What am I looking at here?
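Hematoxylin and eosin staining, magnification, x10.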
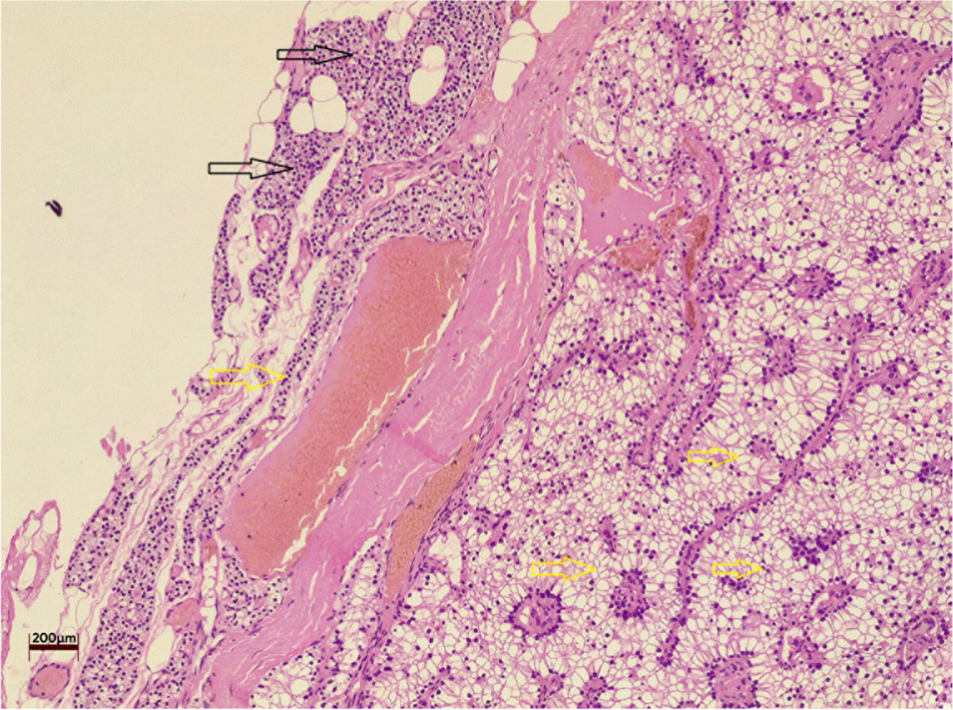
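Most of the field is a well-circumscribed mass of cells with clear cytoplasm, beside a small area of normal parathyroid tissue at the left edge. In the mass, the cells have pale, nearly empty cytoplasm and sharp borders. Their small, round, dark nuclei are alike in size and cluster around thin pink stromal cores and small vessels. A pink fibrous band with large blood-filled vessels separates the mass from a narrow rim of compact, darker cells mixed with round empty fat cells.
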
